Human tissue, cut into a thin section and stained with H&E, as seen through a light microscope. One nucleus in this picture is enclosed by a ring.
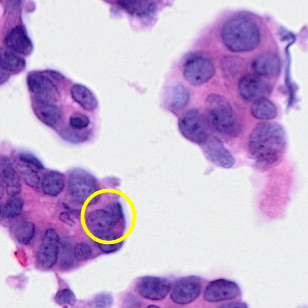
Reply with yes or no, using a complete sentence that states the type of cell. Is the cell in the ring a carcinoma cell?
Yes, where cell type is concerned, the cell in the ring is a carcinoma cell.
